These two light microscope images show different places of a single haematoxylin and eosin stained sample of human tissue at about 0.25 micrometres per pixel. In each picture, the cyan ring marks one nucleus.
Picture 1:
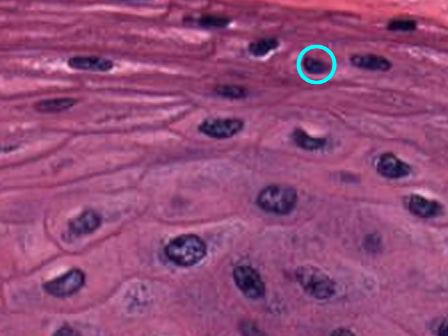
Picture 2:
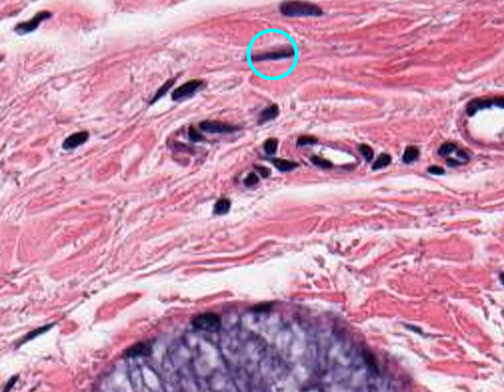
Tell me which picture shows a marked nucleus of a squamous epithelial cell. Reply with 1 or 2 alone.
1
